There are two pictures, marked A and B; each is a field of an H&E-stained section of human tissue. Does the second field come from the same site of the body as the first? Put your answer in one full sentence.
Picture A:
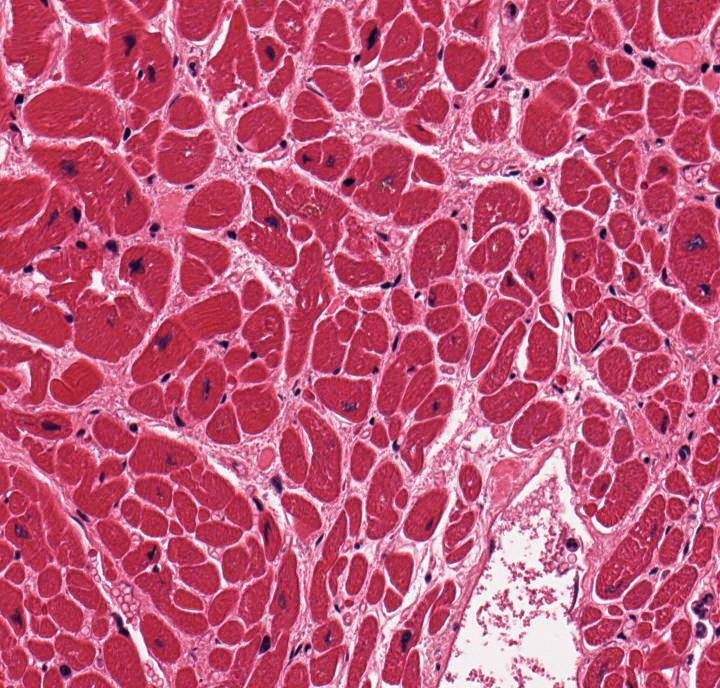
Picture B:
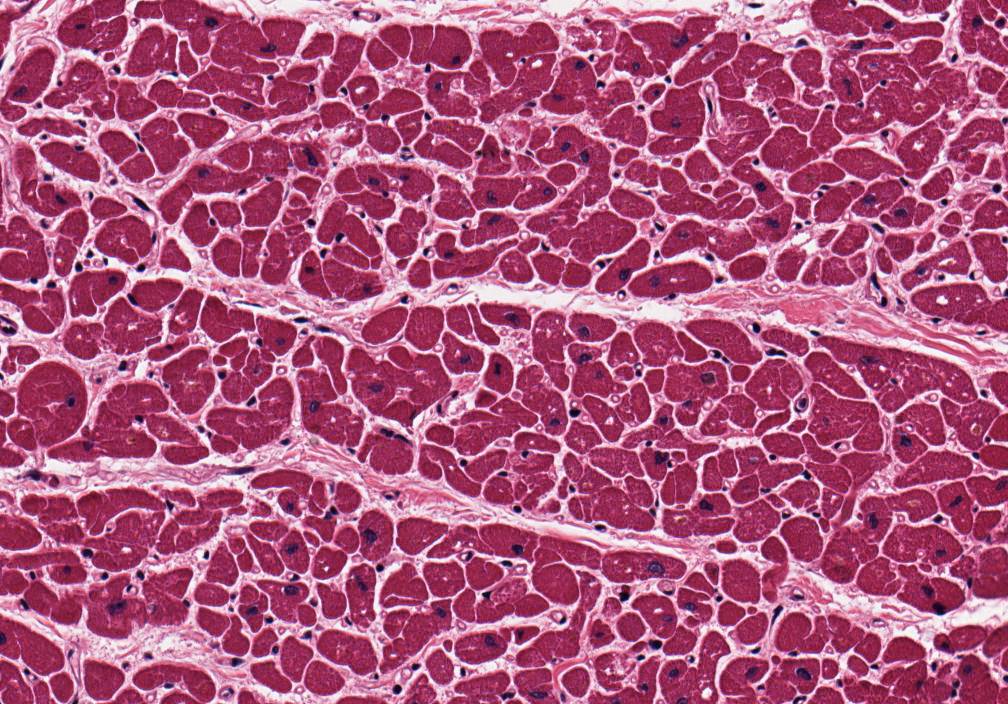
Yes, the two fields both come from the left ventricle of the heart.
